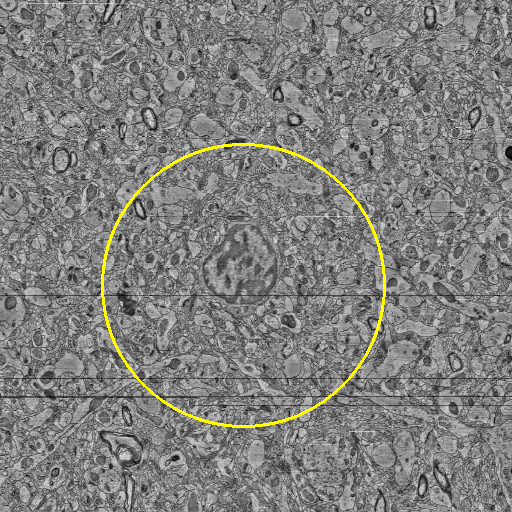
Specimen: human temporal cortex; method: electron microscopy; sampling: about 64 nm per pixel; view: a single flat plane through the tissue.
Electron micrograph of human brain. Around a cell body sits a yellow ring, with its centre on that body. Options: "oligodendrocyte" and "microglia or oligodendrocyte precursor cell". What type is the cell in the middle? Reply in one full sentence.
The cell sitting at the centre of the yellow ring is an oligodendrocyte.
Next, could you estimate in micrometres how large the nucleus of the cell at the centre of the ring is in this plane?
The ringed cell's nucleus is about 5 micrometres across in this plane.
